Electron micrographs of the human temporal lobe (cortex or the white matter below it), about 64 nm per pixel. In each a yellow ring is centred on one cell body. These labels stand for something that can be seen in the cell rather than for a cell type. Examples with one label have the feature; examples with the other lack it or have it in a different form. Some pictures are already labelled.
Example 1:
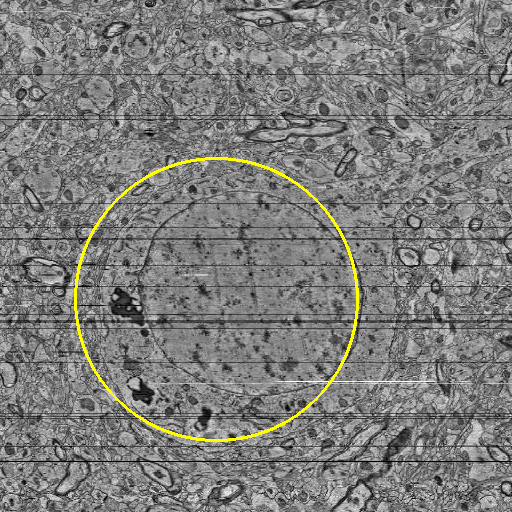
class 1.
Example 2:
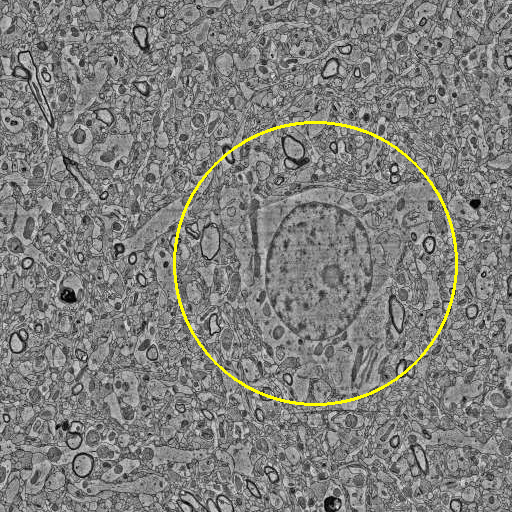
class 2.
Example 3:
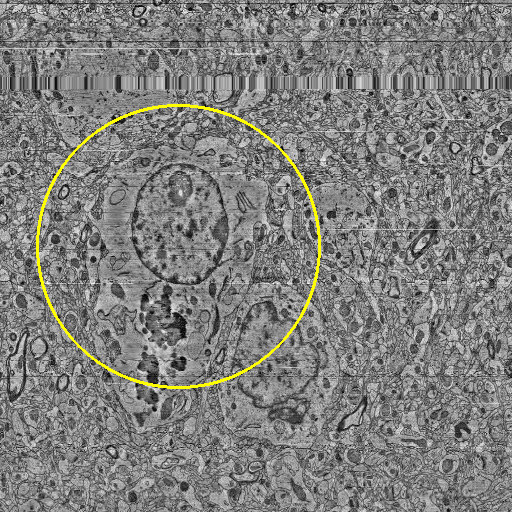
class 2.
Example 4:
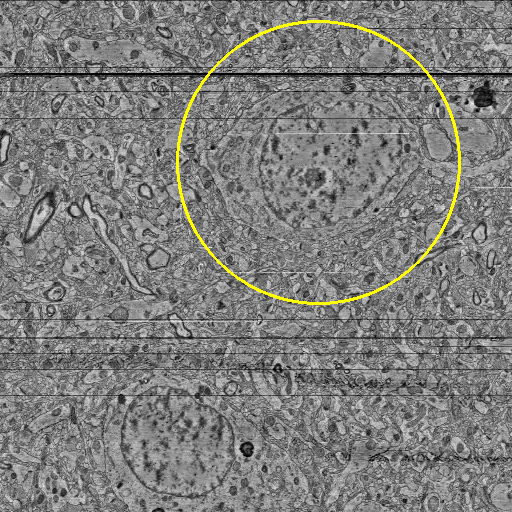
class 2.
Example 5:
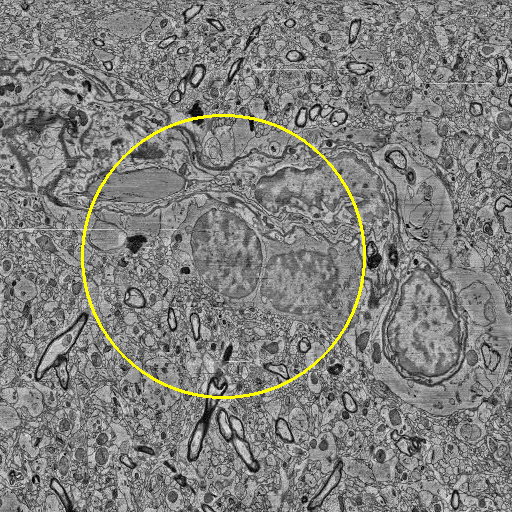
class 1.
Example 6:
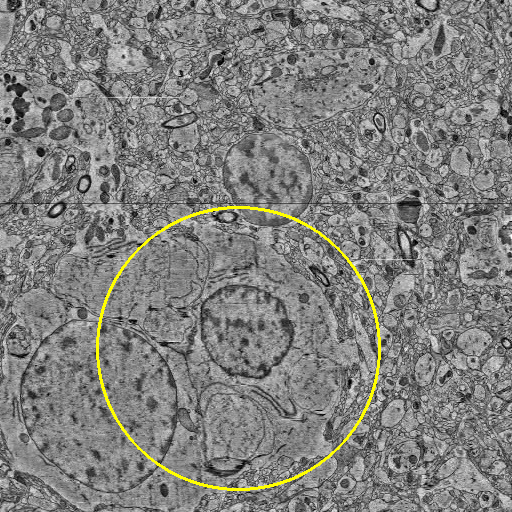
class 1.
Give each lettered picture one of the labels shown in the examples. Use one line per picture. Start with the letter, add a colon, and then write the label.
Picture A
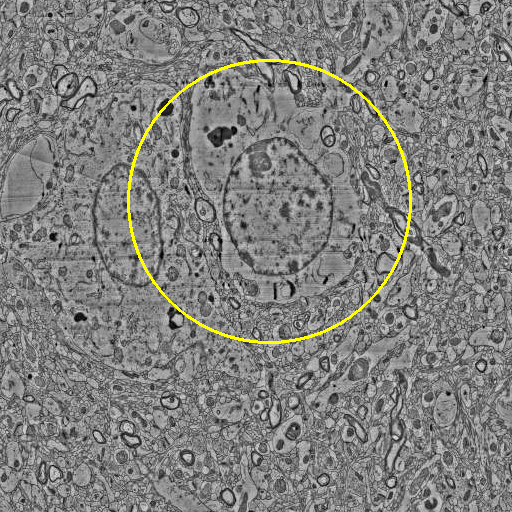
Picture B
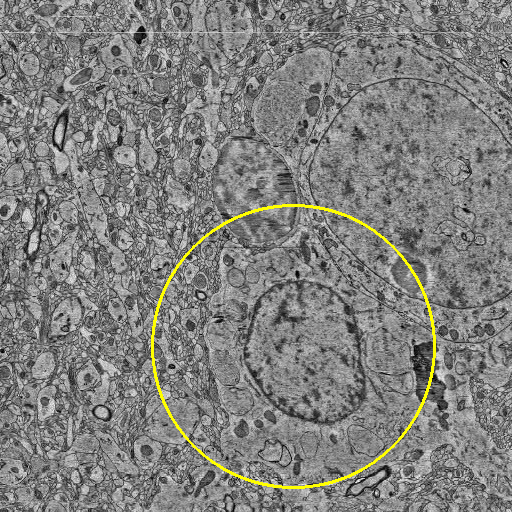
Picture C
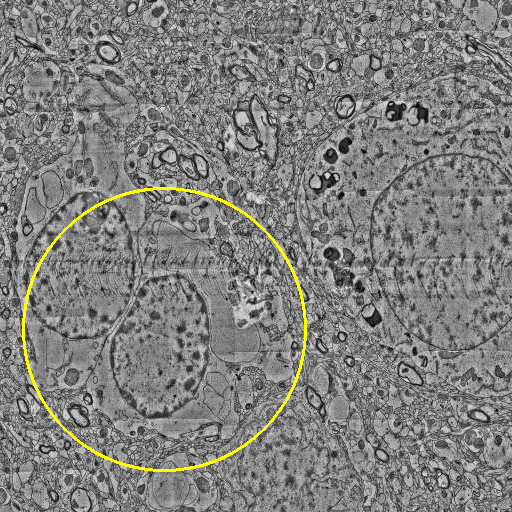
A: class 2.
B: class 1.
C: class 1.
